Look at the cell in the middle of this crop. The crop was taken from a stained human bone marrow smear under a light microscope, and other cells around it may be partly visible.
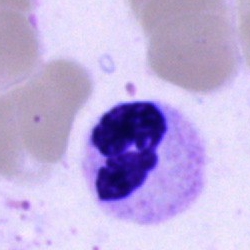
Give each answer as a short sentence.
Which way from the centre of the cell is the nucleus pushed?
The nucleus is pushed toward the upper left of the cell.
